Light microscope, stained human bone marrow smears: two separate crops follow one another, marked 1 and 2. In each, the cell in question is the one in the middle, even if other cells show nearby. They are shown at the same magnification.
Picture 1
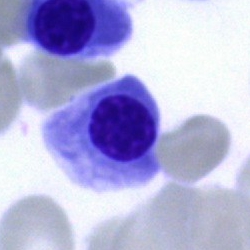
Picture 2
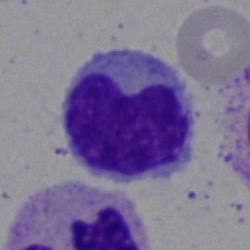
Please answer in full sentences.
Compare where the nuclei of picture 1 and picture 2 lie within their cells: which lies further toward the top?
The nucleus in picture 1 lies further toward the top of its cell.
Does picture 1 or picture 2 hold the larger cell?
Picture 2 holds the larger cell; it covers about 1.5 times the area of the cell in picture 1.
